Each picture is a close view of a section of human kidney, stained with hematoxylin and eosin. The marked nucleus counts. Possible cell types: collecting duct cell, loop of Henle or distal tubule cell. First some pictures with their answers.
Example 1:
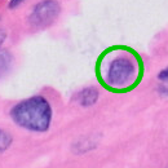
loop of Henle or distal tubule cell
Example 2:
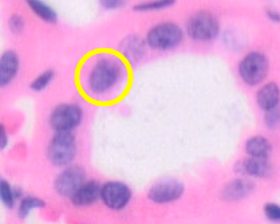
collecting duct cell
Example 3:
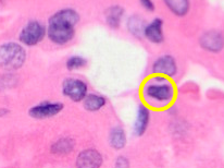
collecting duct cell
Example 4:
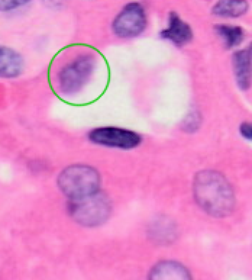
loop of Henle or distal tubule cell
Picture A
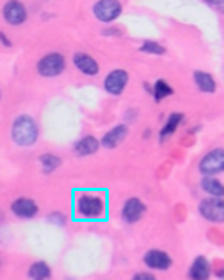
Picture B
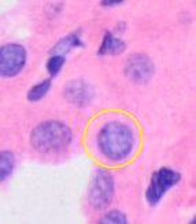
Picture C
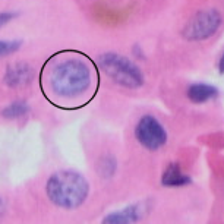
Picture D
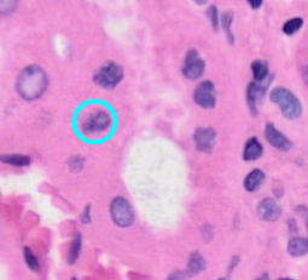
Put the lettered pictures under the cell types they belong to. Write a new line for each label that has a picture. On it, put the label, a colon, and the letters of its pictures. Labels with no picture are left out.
loop of Henle or distal tubule cell: A, B, C, D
